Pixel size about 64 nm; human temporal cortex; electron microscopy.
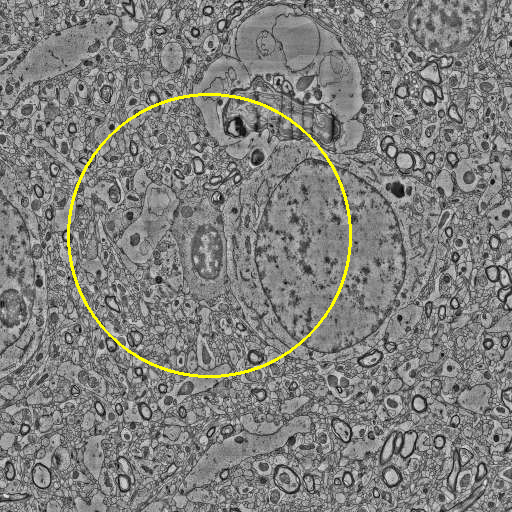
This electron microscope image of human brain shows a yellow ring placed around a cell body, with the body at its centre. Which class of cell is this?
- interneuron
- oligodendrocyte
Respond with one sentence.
The cell body at the ring's centre is an oligodendrocyte.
